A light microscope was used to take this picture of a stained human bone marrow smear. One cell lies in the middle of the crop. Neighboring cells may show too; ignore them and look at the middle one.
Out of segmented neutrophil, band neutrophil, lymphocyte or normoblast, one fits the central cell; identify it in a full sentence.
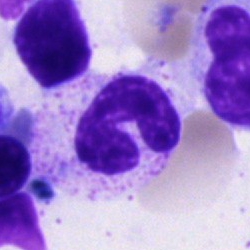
In the centre of this crop there is a band neutrophil.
